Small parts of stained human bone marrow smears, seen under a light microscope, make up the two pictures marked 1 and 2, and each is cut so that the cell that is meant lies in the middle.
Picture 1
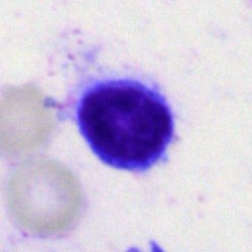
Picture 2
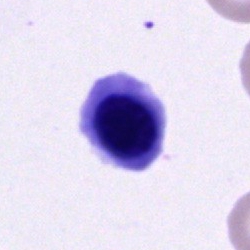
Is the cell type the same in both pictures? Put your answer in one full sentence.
No, they differ: the cell is a lymphocyte in picture 1 and an erythroblast in picture 2.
